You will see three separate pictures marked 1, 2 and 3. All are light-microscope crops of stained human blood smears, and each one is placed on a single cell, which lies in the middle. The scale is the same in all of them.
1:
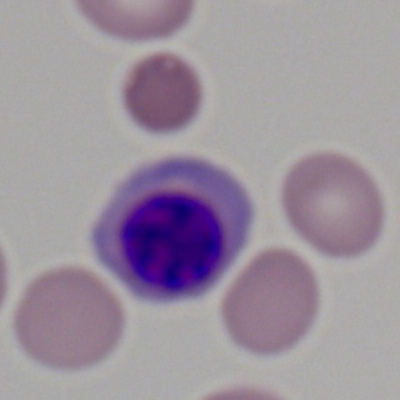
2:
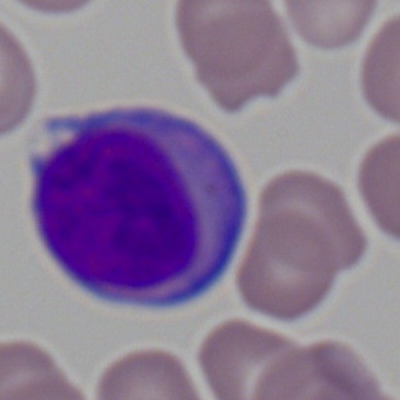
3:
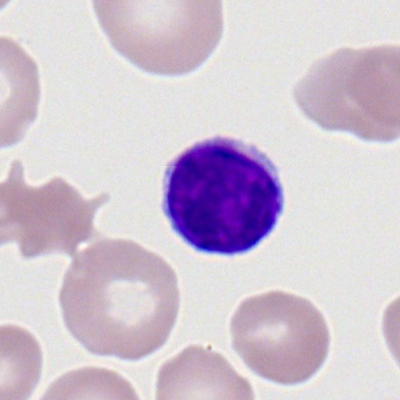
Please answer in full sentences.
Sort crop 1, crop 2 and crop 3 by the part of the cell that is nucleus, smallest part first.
From the least filled to the most, the order is 1, 2, 3.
